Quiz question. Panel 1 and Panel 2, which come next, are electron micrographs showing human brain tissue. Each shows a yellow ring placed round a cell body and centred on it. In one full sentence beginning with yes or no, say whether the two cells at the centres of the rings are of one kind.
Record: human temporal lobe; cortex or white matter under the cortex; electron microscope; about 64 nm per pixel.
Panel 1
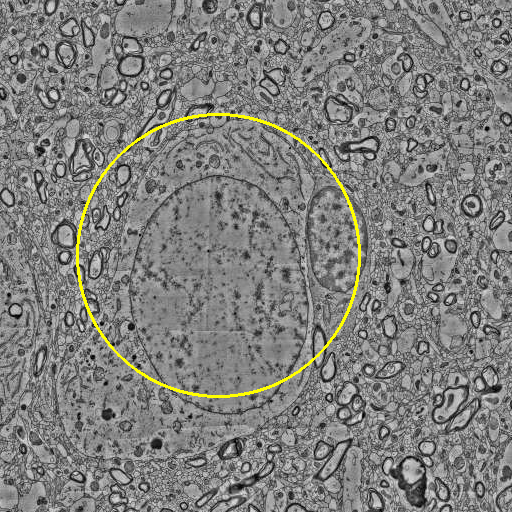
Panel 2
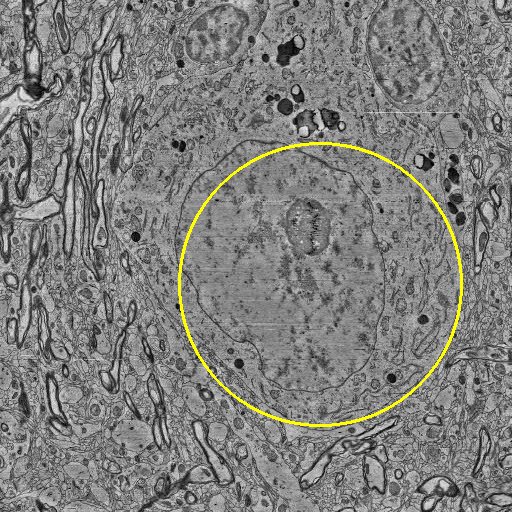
Yes, Panel 1 and Panel 2 show one kind of cell at the centre of the ring.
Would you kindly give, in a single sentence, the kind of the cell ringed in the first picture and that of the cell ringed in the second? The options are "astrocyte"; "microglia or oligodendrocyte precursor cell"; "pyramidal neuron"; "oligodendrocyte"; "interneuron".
In both pictures the ring is centred on a pyramidal neuron.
